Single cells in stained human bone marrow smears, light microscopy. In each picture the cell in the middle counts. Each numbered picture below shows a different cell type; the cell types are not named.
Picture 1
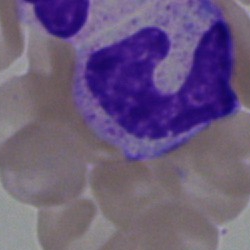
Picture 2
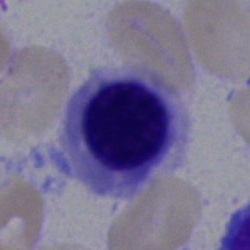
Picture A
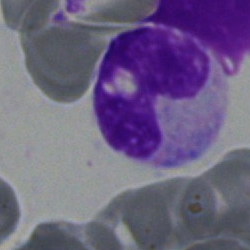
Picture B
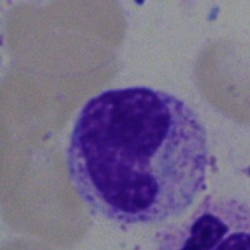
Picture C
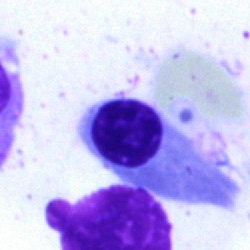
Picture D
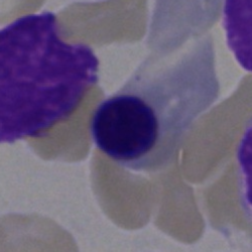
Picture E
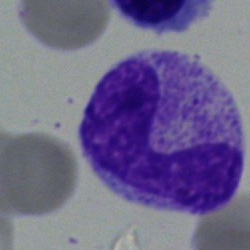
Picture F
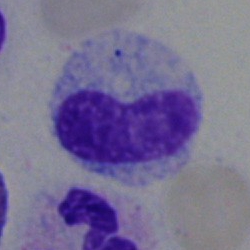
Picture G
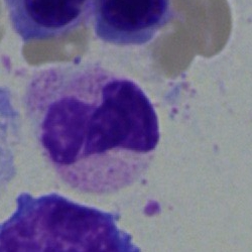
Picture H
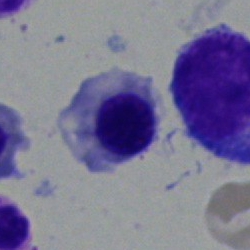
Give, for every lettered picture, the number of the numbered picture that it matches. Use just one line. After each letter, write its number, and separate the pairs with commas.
A 1, B 1, C 2, D 2, E 1, F 1, G 1, H 2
